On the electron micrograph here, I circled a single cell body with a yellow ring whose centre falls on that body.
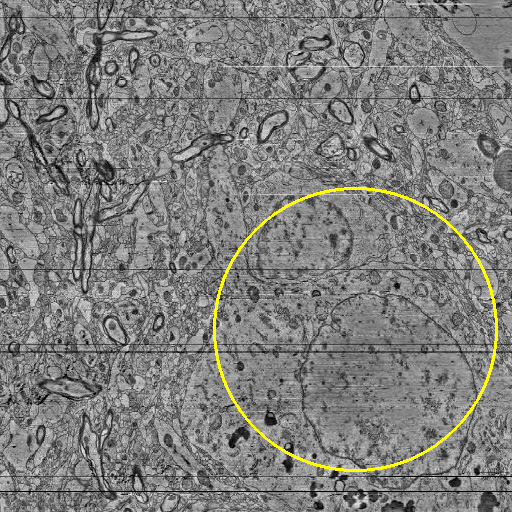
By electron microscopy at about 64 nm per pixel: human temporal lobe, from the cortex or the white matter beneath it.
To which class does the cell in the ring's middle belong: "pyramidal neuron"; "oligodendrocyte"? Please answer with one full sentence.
In this picture, the cell body circled at the ring's centre belongs to a pyramidal neuron.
